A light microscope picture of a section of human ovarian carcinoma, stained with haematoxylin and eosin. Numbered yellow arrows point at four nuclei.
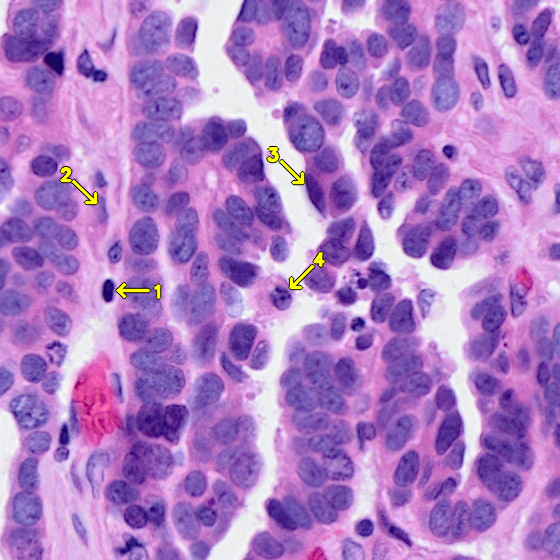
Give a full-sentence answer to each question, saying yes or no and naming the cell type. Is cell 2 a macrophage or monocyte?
No, the cell at marker 2 is not a macrophage or monocyte; it is a fibroblast.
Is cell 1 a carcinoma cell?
No, the cell given number 1 is a lymphocyte, not a carcinoma cell.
